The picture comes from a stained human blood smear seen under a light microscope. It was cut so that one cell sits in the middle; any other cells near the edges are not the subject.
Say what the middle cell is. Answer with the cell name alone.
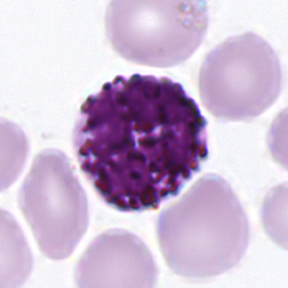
basophil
